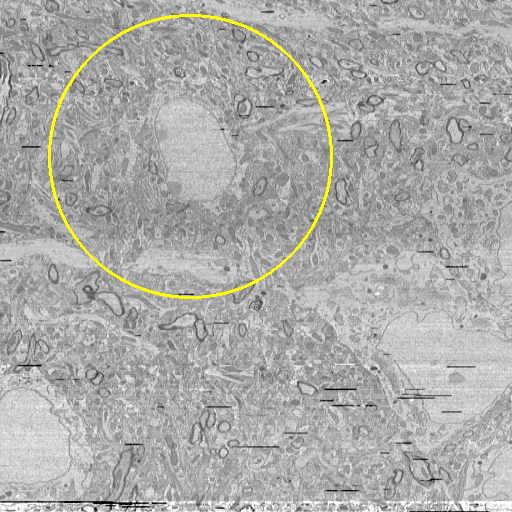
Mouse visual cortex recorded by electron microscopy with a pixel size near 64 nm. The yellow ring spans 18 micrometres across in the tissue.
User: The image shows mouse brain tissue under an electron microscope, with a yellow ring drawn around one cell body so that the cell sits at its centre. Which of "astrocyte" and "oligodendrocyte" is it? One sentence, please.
At the centre of the ring sits an astrocyte.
